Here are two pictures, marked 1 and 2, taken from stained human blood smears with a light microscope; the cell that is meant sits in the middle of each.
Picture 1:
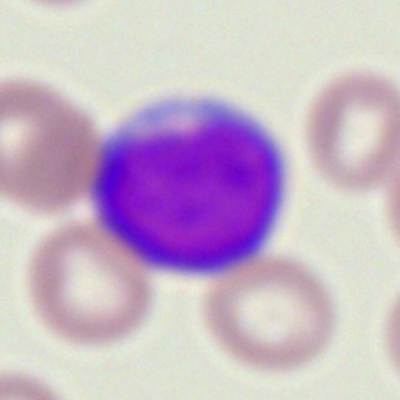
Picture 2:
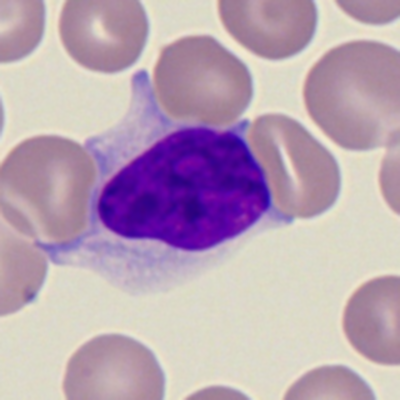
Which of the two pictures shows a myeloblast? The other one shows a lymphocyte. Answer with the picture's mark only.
1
